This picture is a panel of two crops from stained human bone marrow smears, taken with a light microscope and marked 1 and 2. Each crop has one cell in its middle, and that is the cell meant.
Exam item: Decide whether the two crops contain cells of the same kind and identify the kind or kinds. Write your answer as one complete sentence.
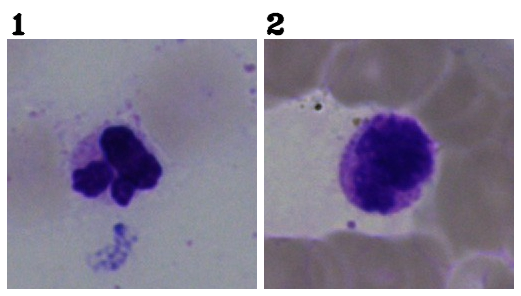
No, the central cell of crop 1 is a segmented neutrophil; that of crop 2 is a basophil.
